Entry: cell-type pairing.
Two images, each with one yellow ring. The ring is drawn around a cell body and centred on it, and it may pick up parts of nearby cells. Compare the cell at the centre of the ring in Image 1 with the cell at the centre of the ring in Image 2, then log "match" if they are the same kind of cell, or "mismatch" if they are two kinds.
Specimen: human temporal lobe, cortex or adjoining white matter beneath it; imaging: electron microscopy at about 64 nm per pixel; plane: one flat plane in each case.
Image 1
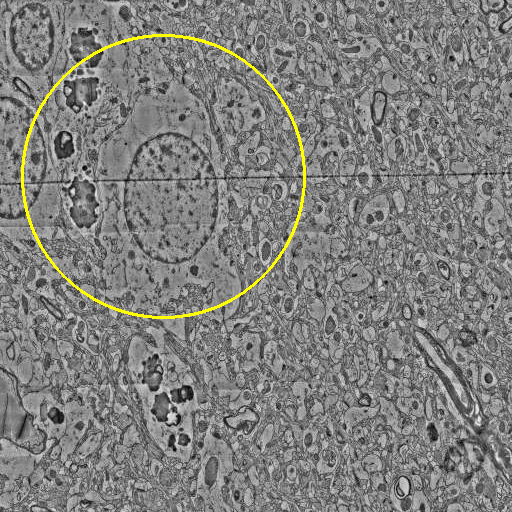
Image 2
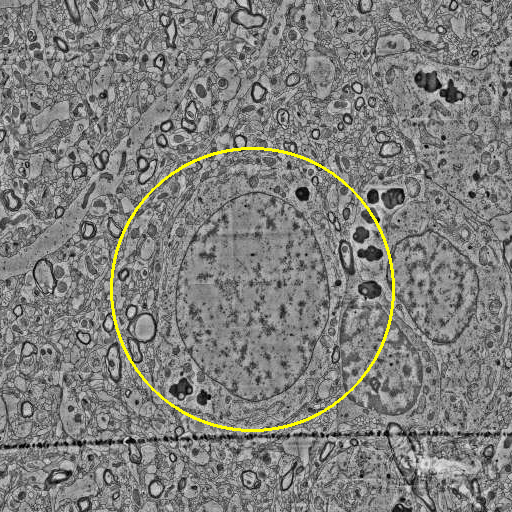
mismatch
